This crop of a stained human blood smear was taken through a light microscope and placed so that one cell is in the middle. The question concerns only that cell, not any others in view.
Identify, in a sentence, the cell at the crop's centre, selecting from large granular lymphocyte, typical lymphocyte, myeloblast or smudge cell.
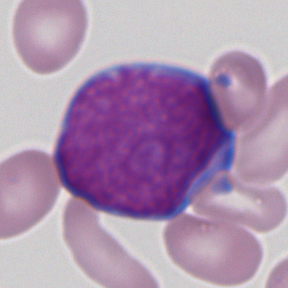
In the crop, the cell of interest at the centre is a myeloblast.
